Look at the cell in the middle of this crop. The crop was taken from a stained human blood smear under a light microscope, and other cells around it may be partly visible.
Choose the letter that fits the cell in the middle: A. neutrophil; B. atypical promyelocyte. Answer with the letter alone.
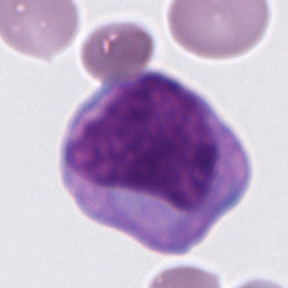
B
